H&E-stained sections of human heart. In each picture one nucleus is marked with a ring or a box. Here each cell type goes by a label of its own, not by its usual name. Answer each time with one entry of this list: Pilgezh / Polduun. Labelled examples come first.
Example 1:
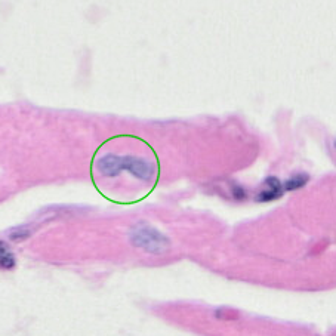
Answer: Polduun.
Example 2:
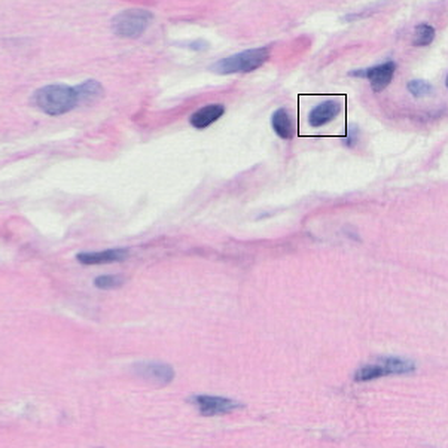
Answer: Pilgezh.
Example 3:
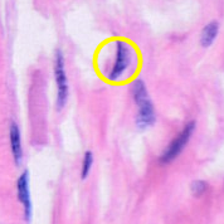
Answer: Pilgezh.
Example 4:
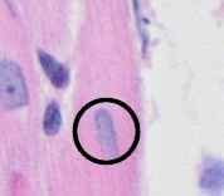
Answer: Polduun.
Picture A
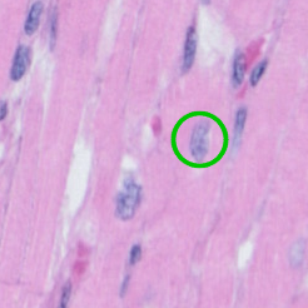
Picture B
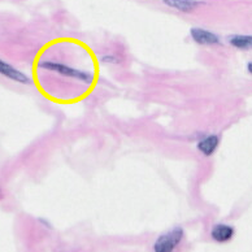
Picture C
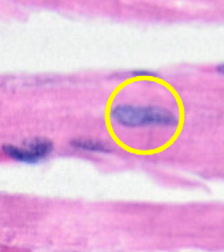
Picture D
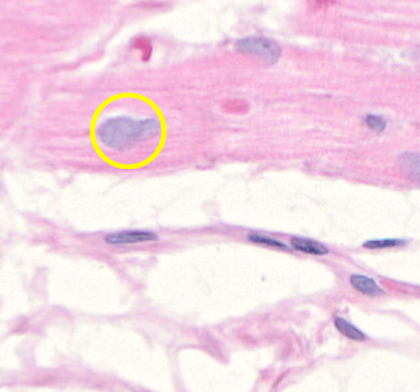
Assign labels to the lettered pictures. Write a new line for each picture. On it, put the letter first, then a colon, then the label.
A: Polduun.
B: Pilgezh.
C: Polduun.
D: Polduun.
